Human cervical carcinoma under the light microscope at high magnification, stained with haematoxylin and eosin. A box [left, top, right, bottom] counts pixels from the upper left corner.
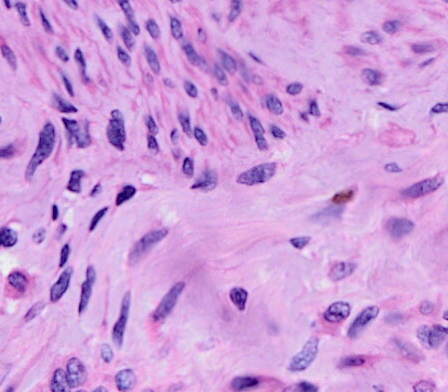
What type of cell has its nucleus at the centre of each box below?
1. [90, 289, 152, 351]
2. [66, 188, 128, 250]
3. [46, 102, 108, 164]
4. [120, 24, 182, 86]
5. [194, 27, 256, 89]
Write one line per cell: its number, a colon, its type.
1: fibroblast
2: fibroblast
3: fibroblast
4: smooth muscle cell
5: smooth muscle cell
